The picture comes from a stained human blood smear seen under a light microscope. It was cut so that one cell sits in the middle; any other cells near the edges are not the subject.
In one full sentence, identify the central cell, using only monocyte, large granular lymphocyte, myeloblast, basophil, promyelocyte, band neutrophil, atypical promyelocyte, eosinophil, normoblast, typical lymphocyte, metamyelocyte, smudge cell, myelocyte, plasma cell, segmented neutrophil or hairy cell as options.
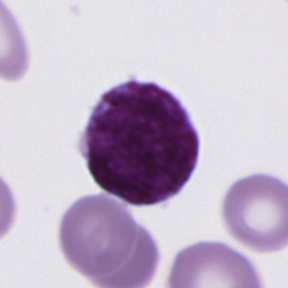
The cell under consideration, at the middle of the crop, is a myeloblast.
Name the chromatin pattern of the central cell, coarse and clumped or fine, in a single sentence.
What stands out is chromatin that is coarsely clumped.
